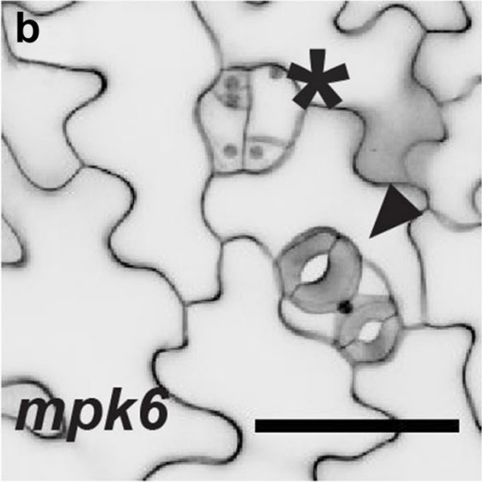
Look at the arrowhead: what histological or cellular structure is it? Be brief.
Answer: stomata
